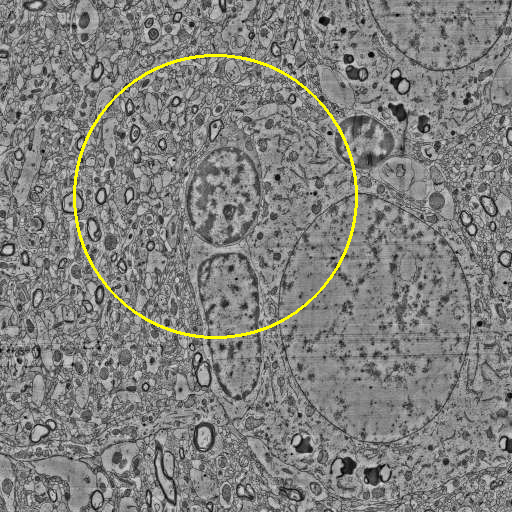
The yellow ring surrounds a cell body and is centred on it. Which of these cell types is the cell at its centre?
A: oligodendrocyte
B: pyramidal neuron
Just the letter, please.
A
